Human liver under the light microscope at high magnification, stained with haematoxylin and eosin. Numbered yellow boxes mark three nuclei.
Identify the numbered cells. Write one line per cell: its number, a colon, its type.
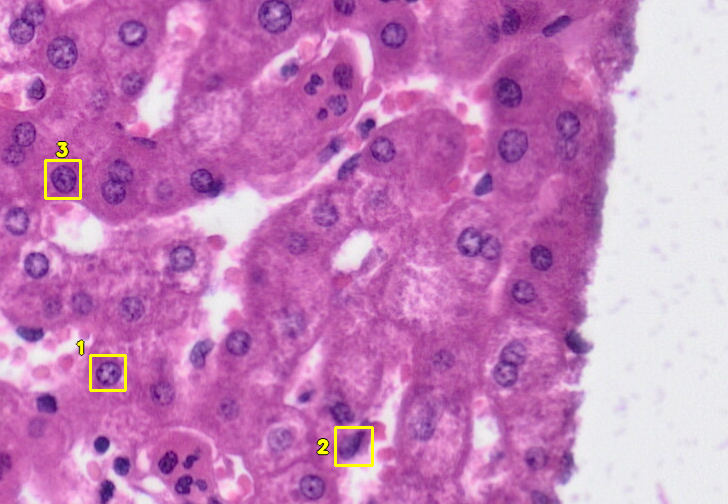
1: hepatocyte
2: Kupffer cell
3: hepatocyte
